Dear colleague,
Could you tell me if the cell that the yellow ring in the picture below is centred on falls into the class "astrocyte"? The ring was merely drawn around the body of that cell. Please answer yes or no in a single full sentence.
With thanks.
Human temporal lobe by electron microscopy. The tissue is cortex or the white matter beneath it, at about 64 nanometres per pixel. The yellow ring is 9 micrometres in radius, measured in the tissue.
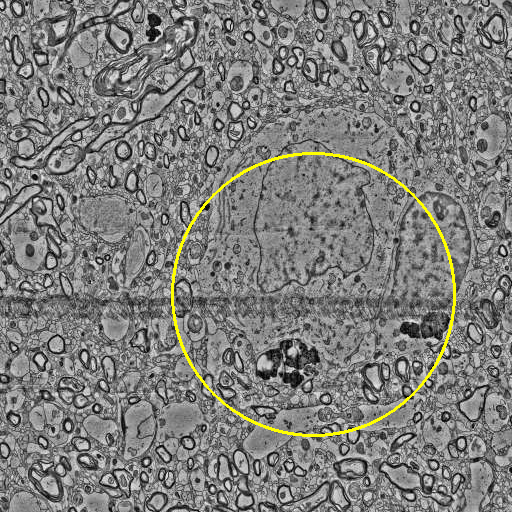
No, the cell on which the ring in your picture is centred falls into a different class.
